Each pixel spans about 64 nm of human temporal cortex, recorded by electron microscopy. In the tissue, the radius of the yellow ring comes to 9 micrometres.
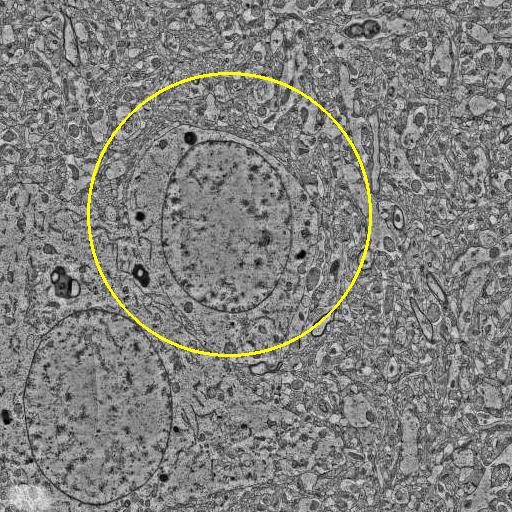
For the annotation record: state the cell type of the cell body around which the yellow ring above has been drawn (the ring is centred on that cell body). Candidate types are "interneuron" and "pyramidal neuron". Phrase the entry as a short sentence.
The ringed cell is a pyramidal neuron.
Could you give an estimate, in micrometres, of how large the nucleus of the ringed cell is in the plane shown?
The nucleus comes to roughly 11 by 9 micrometres in this plane.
